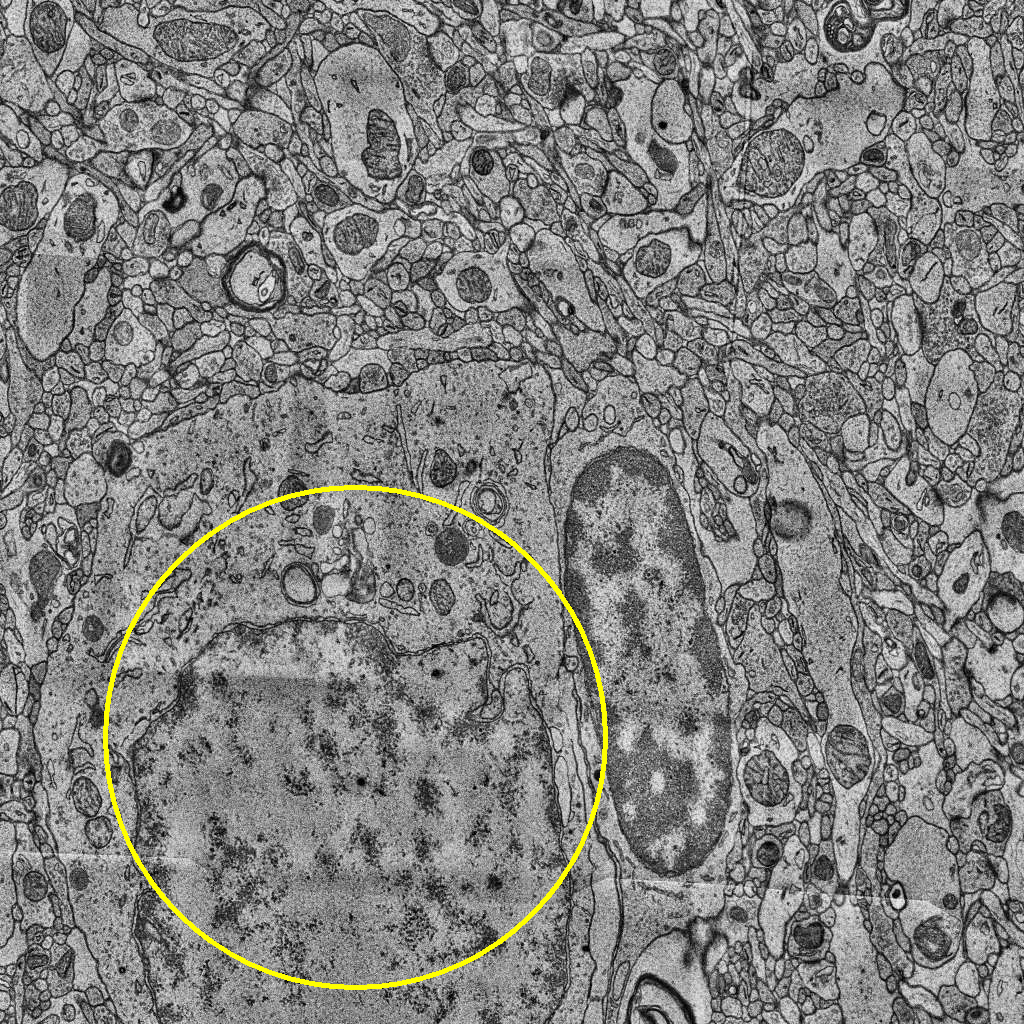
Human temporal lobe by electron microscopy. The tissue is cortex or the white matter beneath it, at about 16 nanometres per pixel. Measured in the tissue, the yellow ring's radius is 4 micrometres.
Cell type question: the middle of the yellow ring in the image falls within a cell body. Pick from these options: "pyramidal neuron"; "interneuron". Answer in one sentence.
The cell body at the center of the ring belongs to an interneuron.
